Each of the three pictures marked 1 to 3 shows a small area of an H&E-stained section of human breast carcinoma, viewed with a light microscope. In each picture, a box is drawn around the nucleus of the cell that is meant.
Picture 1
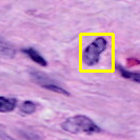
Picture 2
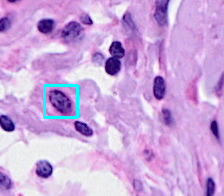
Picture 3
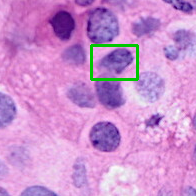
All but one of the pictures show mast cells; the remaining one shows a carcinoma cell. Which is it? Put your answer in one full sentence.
The carcinoma cell is the one in picture 3.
